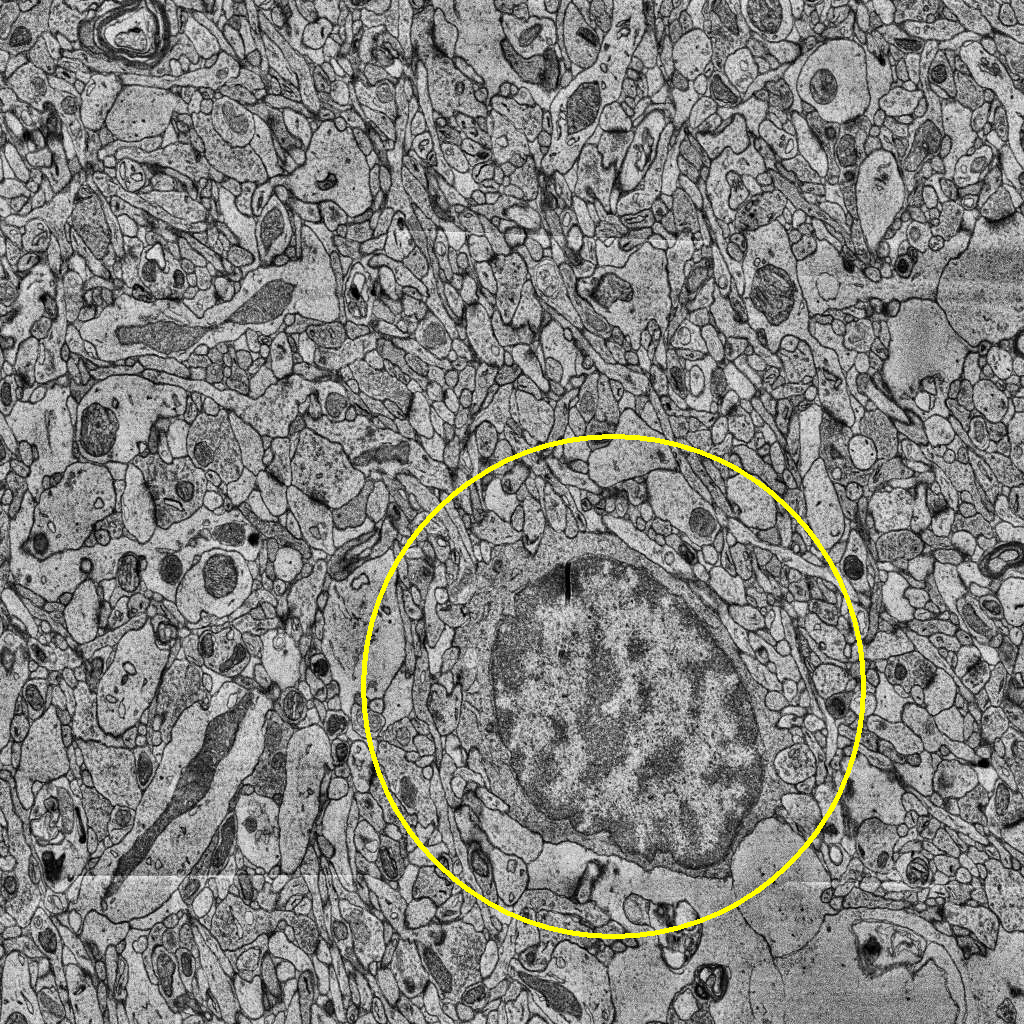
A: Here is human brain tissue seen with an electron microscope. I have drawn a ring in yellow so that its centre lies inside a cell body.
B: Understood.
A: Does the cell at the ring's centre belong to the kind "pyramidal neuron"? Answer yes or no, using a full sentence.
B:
No, the cell at the centre of your yellow ring belongs to another kind.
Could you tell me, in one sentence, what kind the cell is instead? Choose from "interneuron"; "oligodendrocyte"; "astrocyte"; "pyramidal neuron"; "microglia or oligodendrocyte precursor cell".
The cell at the ring centre is an oligodendrocyte.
